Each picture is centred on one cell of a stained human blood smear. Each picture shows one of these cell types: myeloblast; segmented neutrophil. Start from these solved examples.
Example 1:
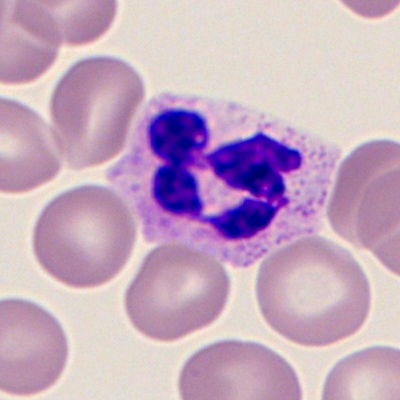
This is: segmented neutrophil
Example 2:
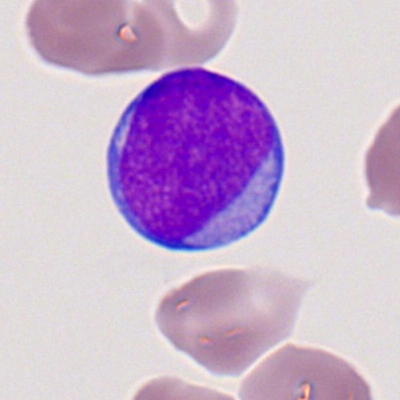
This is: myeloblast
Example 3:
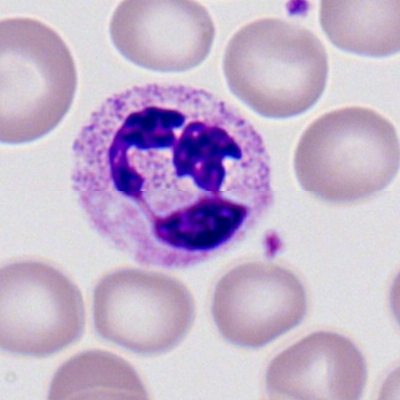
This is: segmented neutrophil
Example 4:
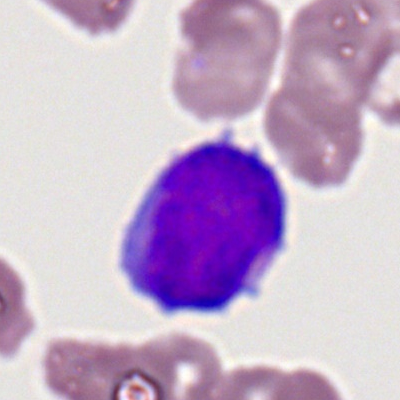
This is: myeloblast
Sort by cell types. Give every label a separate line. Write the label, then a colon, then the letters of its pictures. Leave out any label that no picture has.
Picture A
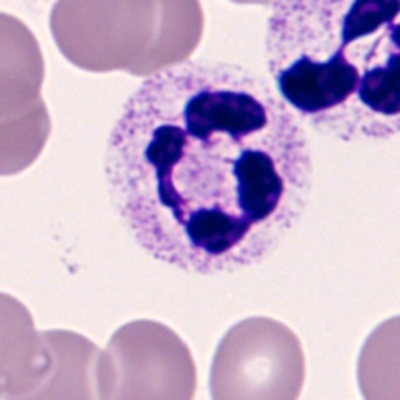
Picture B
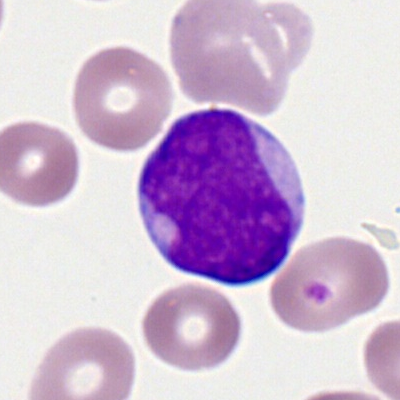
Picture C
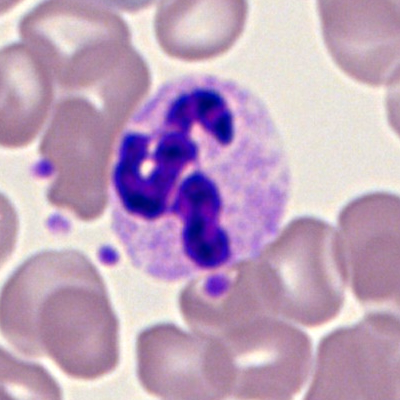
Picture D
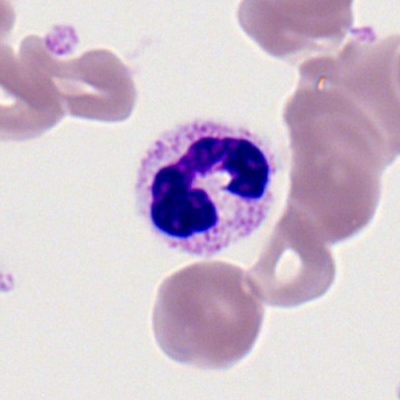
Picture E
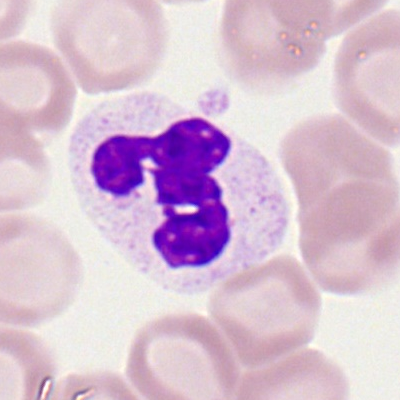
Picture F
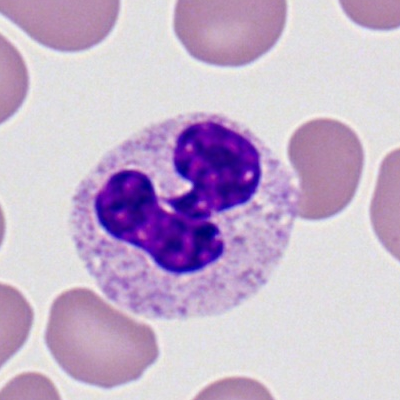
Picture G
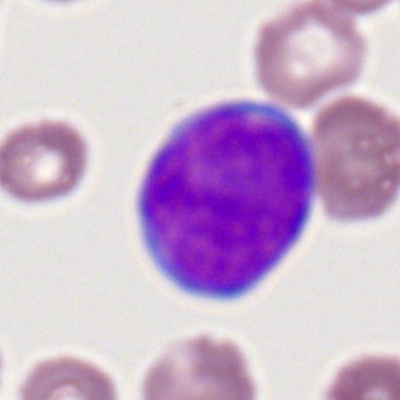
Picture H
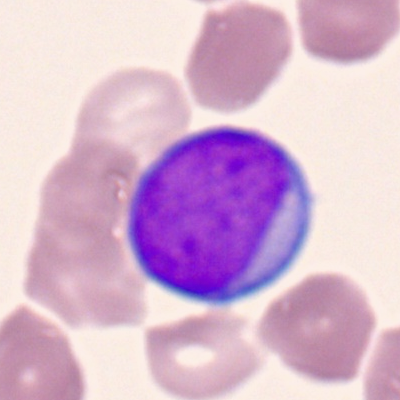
myeloblast: B, G, H
segmented neutrophil: A, C, D, E, F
